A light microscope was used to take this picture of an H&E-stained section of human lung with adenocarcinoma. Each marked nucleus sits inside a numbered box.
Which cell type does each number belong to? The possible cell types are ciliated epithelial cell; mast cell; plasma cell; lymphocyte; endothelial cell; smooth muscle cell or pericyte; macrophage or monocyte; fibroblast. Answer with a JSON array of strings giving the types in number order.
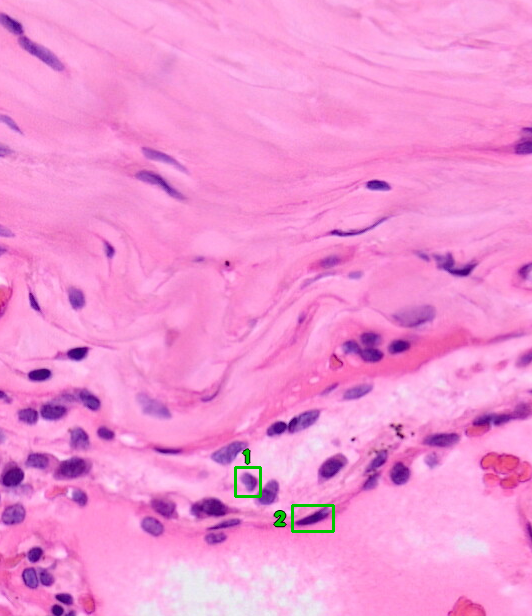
["lymphocyte", "endothelial cell"]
